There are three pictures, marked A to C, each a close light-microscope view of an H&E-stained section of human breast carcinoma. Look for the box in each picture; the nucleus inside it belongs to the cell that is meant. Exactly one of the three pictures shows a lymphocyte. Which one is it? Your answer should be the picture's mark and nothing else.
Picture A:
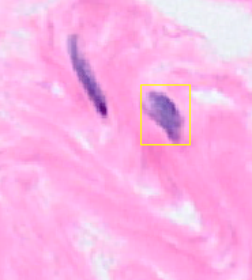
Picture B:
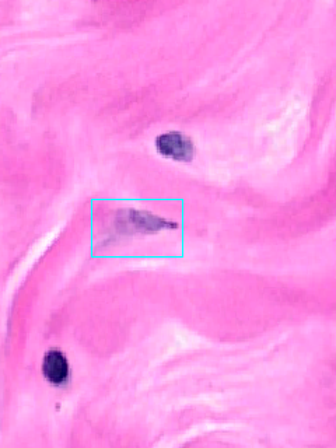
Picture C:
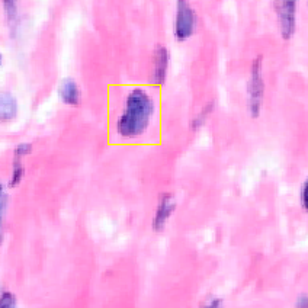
C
